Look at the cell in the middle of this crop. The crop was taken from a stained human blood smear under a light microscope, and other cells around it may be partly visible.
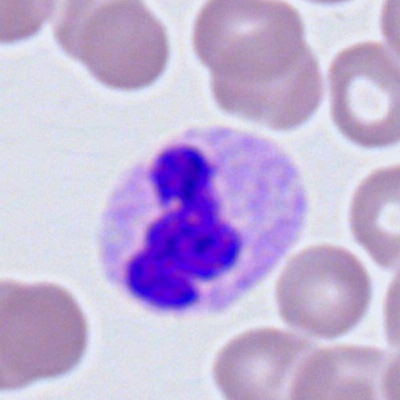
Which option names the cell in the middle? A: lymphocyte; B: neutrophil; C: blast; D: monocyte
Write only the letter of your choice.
B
